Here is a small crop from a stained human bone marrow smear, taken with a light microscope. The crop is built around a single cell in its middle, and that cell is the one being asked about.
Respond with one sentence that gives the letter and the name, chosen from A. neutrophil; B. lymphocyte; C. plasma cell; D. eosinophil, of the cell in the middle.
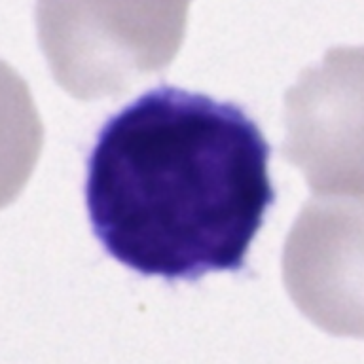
In the centre of the crop there is a lymphocyte, making option B correct.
